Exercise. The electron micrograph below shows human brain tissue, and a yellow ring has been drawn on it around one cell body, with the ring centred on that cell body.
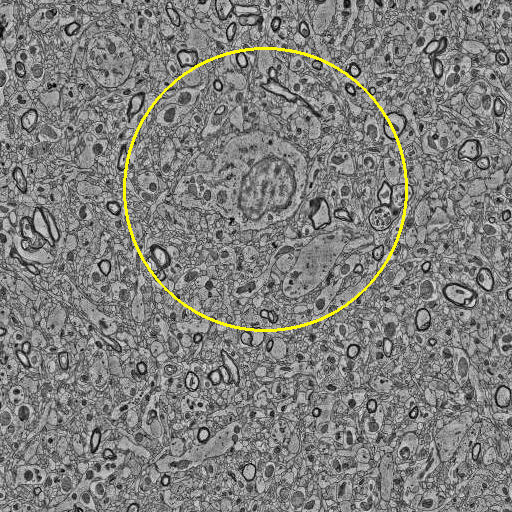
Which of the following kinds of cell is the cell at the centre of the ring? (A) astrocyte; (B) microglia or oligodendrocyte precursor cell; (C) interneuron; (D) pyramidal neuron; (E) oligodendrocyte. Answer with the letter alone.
C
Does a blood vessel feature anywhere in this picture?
No, the image shows no blood vessel.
